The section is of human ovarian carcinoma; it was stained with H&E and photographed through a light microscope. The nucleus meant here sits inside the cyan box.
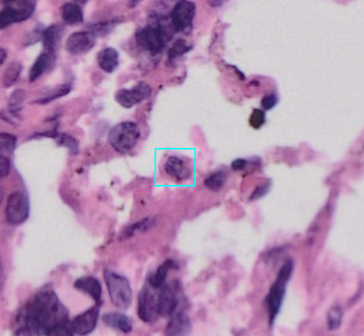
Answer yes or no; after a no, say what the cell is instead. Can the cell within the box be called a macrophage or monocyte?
Yes.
